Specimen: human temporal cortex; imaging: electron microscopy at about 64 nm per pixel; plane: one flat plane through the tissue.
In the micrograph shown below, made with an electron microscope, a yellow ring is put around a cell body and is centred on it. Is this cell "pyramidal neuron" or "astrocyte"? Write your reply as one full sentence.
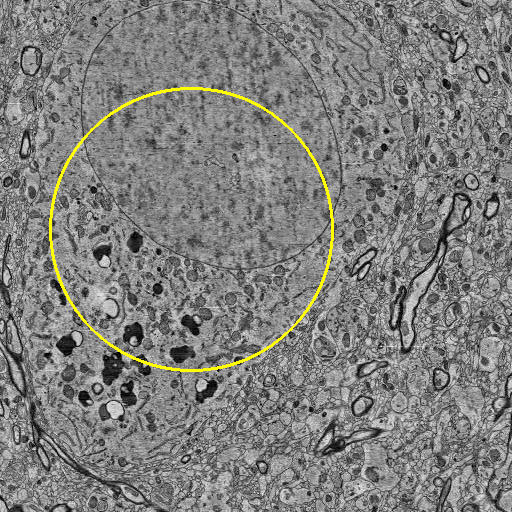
In the micrograph, a pyramidal neuron is the cell at the centre of the yellow ring.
